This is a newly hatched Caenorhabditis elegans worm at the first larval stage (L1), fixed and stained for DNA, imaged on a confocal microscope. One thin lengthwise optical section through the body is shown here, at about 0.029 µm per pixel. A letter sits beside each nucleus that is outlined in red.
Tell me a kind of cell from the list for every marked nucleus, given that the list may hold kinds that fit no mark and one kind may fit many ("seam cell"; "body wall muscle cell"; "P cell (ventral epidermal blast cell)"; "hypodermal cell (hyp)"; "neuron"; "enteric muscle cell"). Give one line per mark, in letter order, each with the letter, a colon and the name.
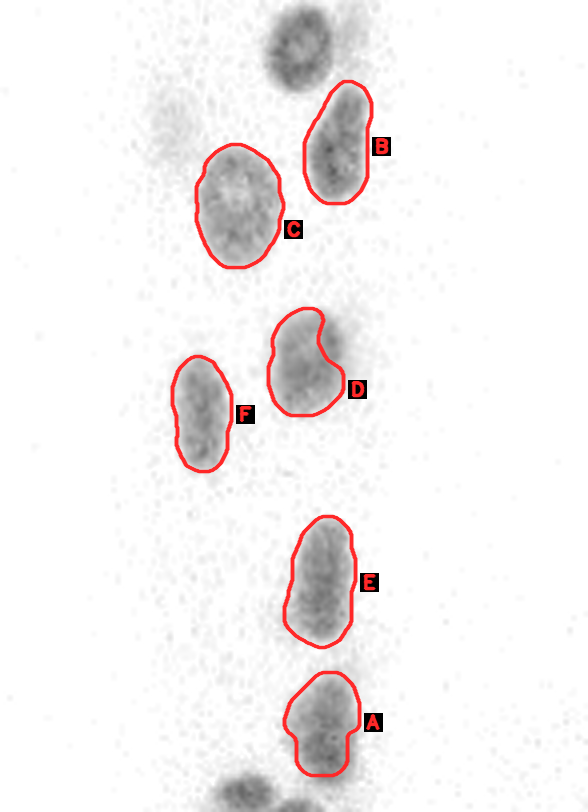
A: P cell (ventral epidermal blast cell)
B: P cell (ventral epidermal blast cell)
C: hypodermal cell (hyp)
D: seam cell
E: enteric muscle cell
F: body wall muscle cell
